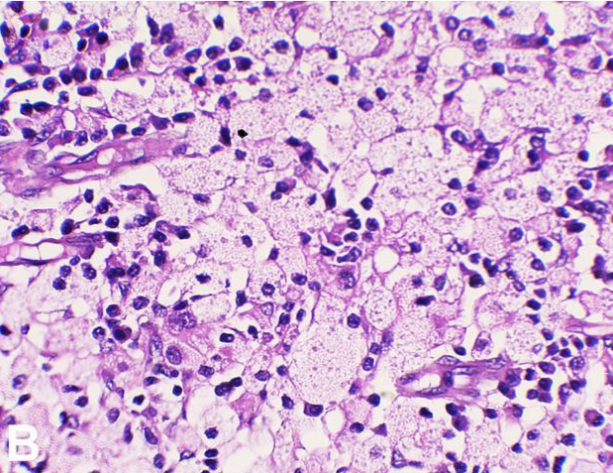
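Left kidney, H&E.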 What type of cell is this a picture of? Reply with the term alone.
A: Polygonal histiocytes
